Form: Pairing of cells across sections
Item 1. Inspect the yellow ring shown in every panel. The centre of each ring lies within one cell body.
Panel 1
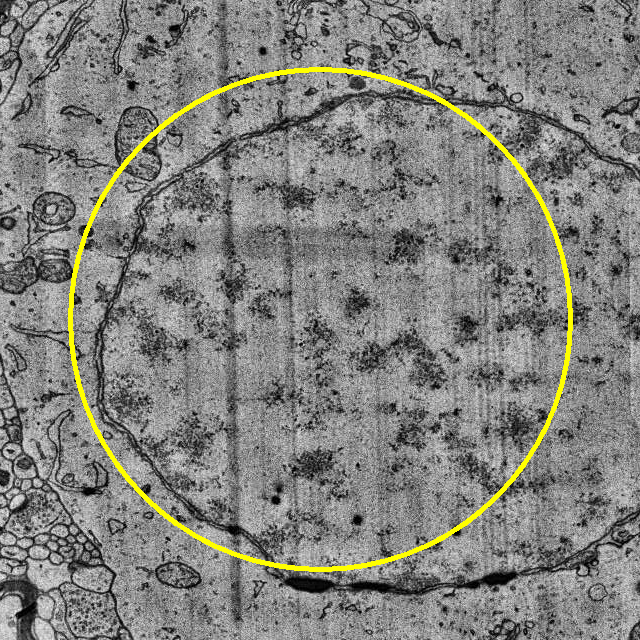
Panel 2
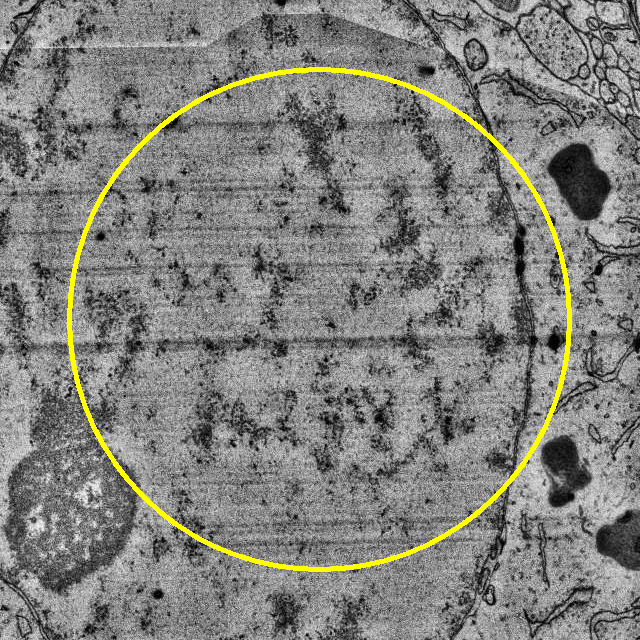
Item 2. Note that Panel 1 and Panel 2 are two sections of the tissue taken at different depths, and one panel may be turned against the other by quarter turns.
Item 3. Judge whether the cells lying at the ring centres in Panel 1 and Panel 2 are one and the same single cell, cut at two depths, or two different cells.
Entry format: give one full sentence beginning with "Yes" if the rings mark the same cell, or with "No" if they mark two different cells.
No, the cell in one ring is not the cell in the other.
